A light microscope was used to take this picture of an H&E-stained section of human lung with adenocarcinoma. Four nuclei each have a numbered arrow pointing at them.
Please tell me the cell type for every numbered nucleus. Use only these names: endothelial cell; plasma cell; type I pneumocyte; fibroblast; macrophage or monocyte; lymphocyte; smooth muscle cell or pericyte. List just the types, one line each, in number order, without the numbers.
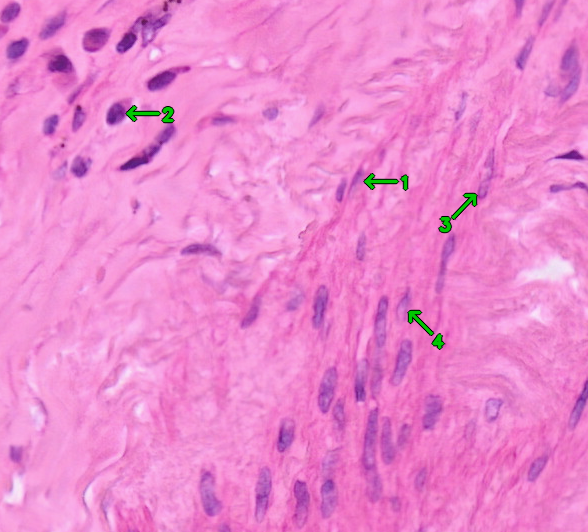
smooth muscle cell or pericyte
plasma cell
smooth muscle cell or pericyte
smooth muscle cell or pericyte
